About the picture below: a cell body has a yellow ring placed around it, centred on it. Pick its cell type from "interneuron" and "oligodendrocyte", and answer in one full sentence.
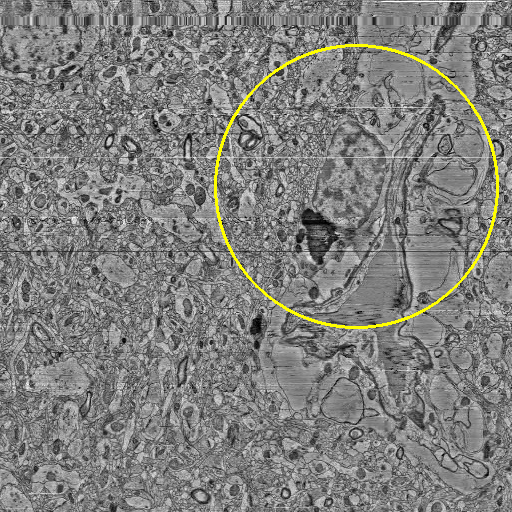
In the picture, an oligodendrocyte is the cell sitting at the centre of the yellow ring.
